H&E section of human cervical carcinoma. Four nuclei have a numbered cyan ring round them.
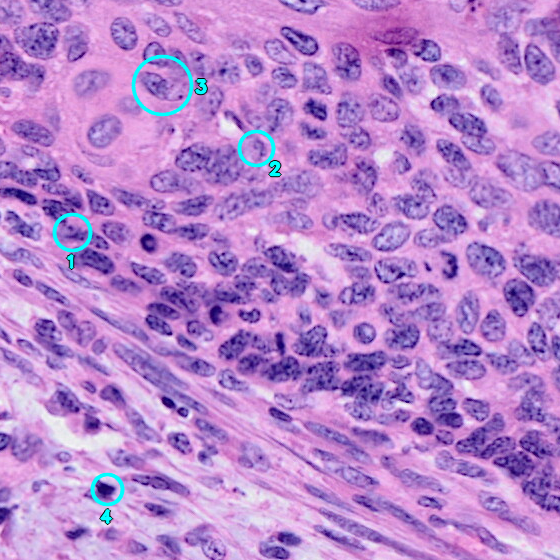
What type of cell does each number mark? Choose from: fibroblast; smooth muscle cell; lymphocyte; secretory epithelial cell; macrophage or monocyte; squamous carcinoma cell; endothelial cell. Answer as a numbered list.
1. squamous carcinoma cell
2. squamous carcinoma cell
3. squamous carcinoma cell
4. lymphocyte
